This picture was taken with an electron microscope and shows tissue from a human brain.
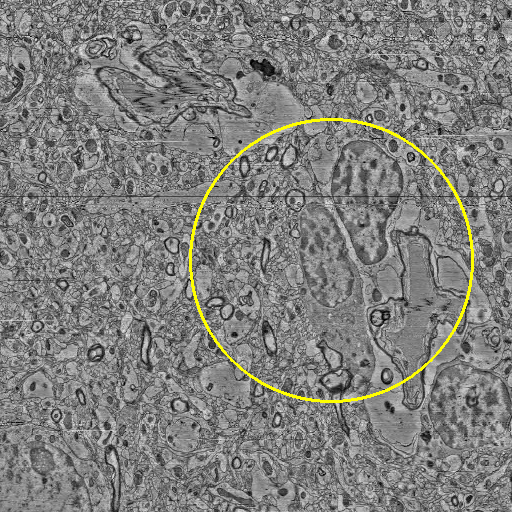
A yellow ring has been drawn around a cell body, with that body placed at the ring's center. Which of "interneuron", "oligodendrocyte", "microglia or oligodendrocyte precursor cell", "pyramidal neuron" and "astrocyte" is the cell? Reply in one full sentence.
In this picture, an oligodendrocyte is the cell at the center of the yellow ring.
